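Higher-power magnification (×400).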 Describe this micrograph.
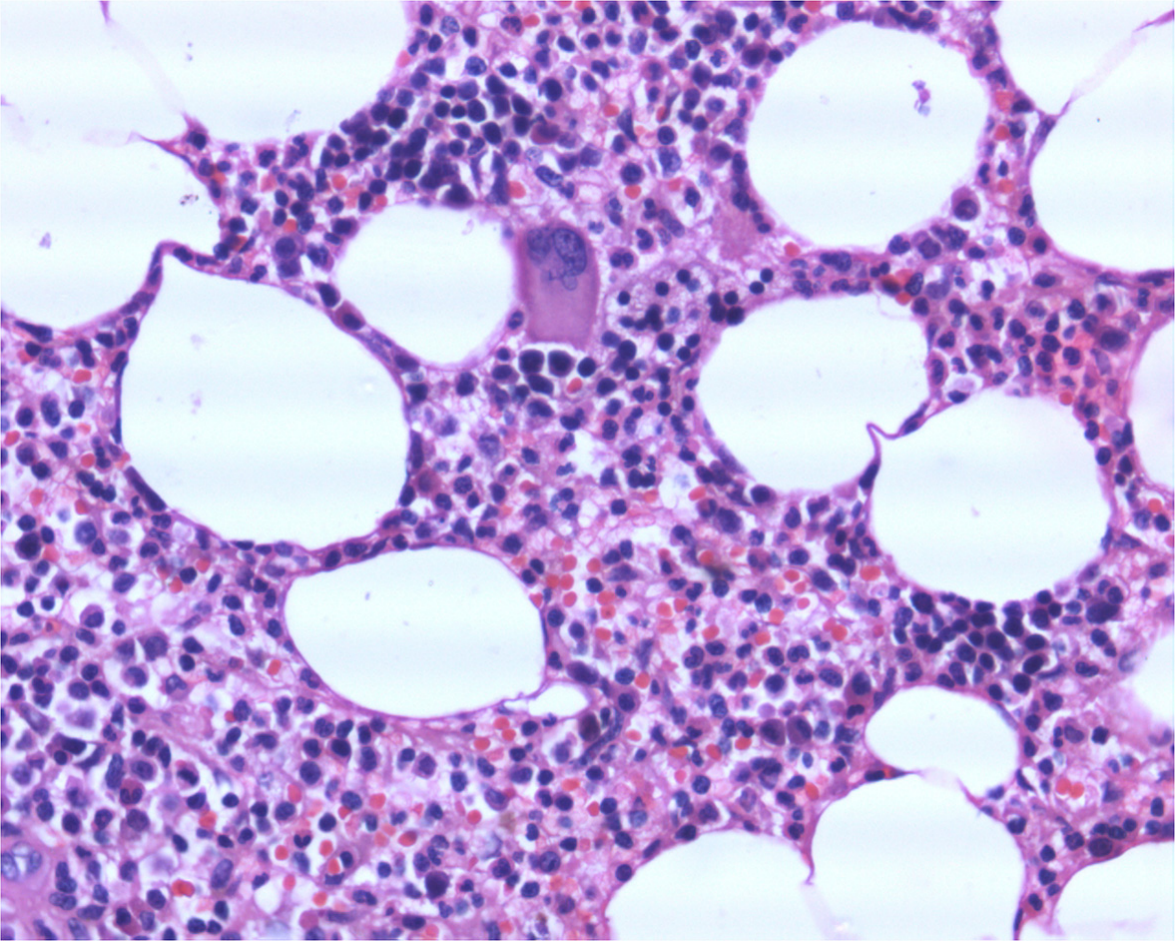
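This section shows blood-forming marrow tissue with erythroid, granulocytic and megakaryocytic cells packed between large, empty, round fat spaces. Near the top centre lies a very large cell with a lobulated, folded nucleus and abundant homogeneous pink cytoplasm. Around it, many small cells with round, dark, condensed nuclei form clusters, while others have paler, more open nuclei and faint pale pink cytoplasm. Bright red anucleate red blood cells are scattered throughout the cellular areas, and thin pink strands outline the fat spaces.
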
